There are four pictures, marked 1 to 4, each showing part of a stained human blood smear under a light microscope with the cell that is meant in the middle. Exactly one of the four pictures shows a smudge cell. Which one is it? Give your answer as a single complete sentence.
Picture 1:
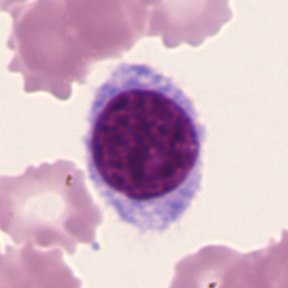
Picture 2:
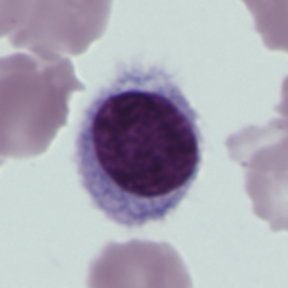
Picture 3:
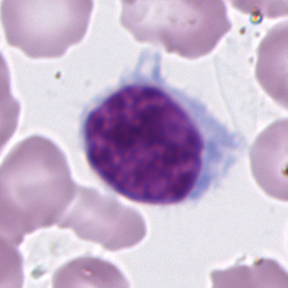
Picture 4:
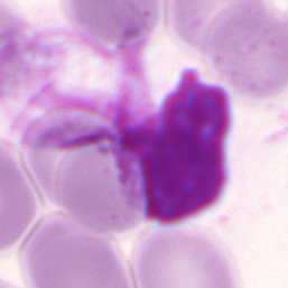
The cell in picture 4 is the smudge cell.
